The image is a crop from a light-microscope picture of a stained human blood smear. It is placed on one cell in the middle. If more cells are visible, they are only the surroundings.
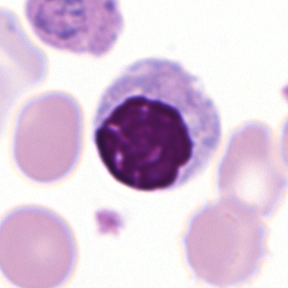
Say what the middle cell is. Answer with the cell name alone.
normoblast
